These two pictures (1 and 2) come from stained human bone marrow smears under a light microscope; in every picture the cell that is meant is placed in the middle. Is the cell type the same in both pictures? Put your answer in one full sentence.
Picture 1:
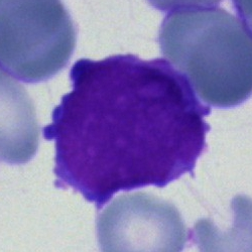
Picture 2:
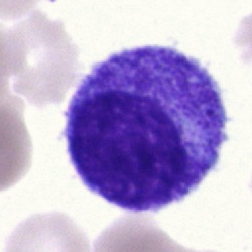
No. Picture 1 shows a blast, but picture 2 shows a promyelocyte.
